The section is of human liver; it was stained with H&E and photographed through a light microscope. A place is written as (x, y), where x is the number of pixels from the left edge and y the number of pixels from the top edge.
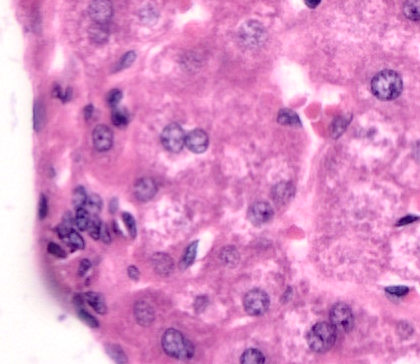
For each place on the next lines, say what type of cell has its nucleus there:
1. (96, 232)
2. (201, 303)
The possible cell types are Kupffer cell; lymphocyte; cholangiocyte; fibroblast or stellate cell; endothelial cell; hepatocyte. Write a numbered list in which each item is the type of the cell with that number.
1. cholangiocyte
2. hepatocyte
